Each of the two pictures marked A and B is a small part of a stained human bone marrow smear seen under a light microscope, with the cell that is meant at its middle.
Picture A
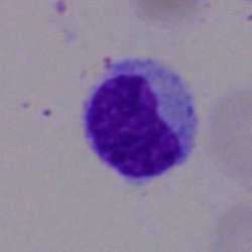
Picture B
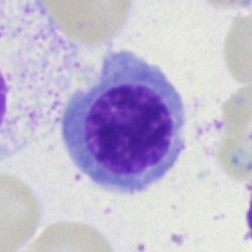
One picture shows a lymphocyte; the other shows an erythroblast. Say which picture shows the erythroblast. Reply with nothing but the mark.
B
